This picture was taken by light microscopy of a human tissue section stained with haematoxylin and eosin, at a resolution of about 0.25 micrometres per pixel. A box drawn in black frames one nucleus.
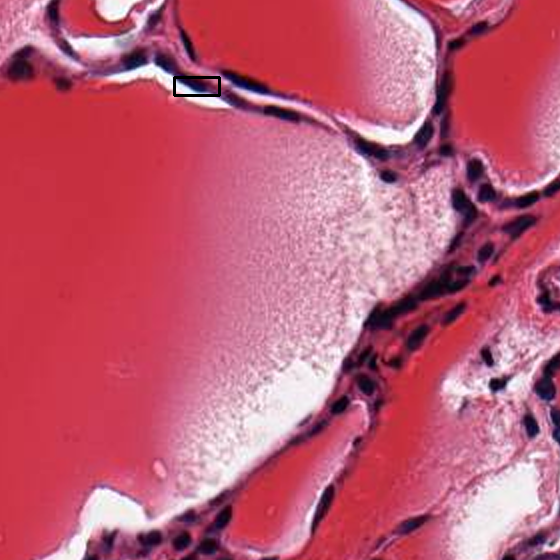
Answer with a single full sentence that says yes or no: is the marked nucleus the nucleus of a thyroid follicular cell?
Yes, the cell that houses the marked nucleus is a thyroid follicular cell.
